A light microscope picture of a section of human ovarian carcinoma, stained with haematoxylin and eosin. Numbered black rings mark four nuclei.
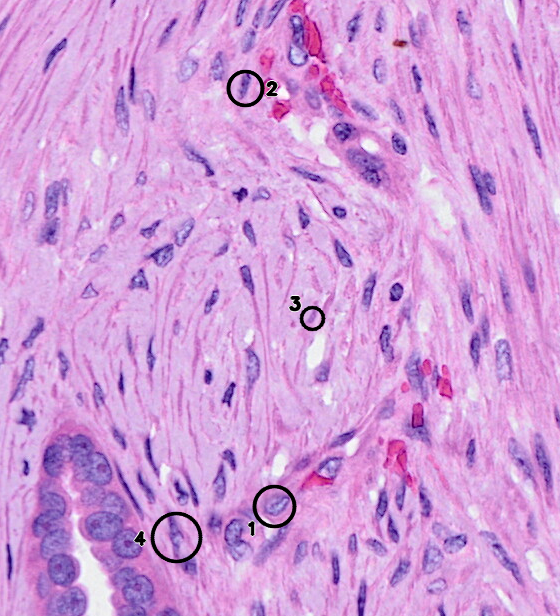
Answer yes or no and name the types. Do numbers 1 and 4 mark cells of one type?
No, cell 1 is an endothelial cell and cell 4 is a fibroblast.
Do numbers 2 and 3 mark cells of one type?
Yes, both are fibroblasts.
